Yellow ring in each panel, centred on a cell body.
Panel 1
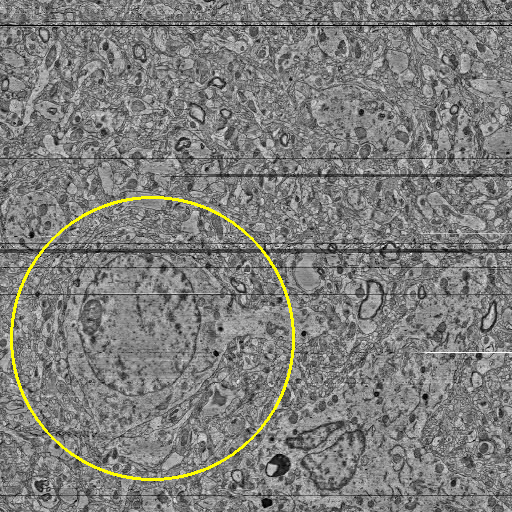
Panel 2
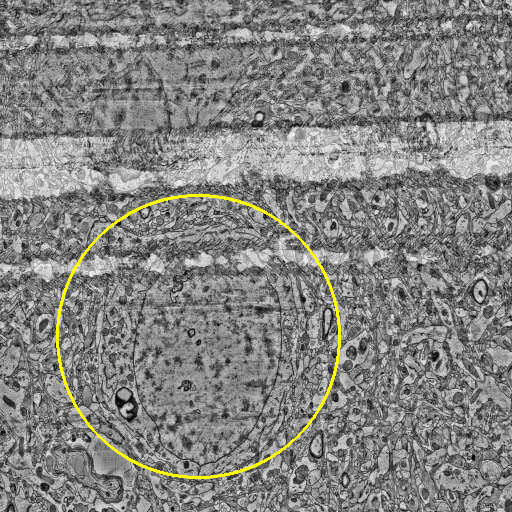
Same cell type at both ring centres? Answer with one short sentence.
Yes, both cells are of the same type.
